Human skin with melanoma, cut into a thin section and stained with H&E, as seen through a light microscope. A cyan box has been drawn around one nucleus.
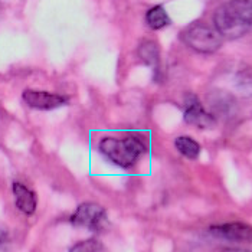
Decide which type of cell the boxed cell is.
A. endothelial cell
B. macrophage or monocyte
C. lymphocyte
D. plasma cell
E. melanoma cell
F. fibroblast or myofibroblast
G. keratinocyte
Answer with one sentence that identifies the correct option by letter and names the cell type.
Of the options given, E is right: the boxed cell is a melanoma cell.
